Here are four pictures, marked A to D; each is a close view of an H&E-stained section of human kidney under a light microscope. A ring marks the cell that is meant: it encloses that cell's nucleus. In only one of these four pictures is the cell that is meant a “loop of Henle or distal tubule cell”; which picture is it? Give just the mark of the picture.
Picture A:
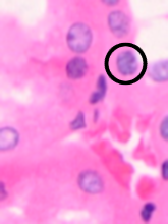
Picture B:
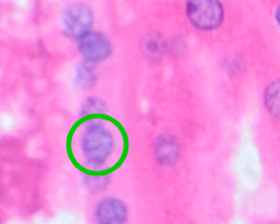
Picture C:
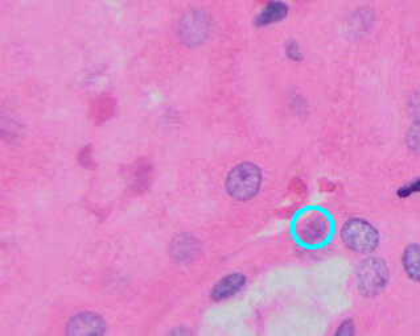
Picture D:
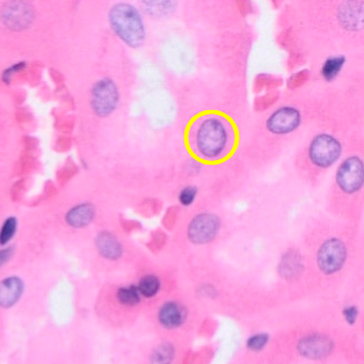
A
